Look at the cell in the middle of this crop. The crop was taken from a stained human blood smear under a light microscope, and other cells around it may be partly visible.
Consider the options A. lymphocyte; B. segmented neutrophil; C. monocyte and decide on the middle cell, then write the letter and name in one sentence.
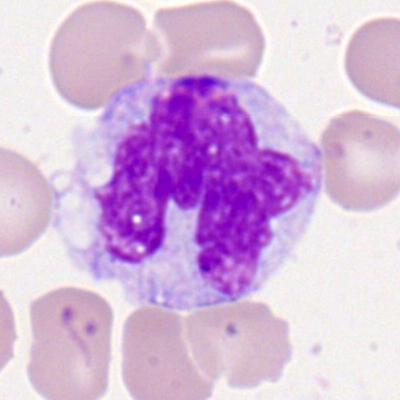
Of the options given, C is correct, the central cell being a monocyte.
